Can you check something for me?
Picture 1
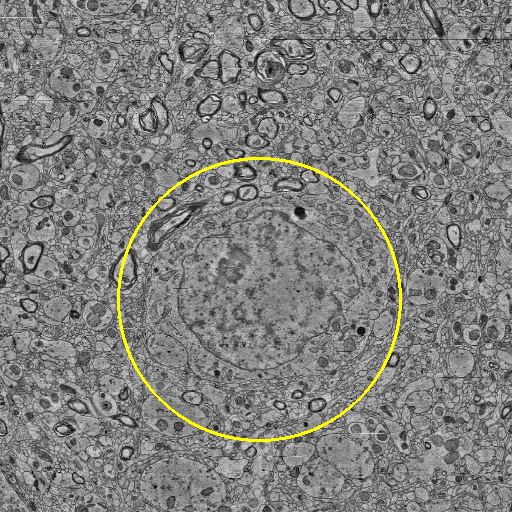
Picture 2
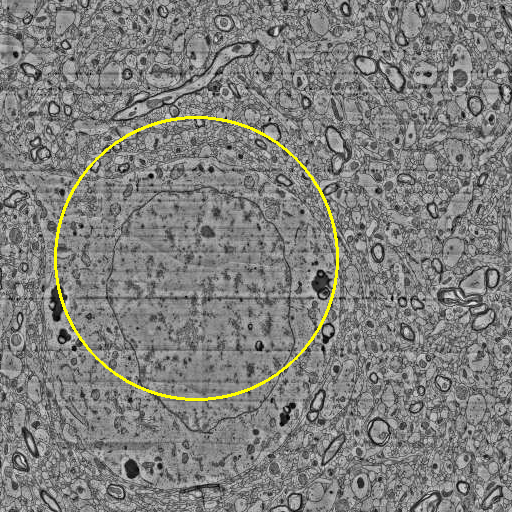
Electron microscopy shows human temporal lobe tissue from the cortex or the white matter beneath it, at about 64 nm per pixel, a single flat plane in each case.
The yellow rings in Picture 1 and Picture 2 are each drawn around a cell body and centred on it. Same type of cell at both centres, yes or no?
no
